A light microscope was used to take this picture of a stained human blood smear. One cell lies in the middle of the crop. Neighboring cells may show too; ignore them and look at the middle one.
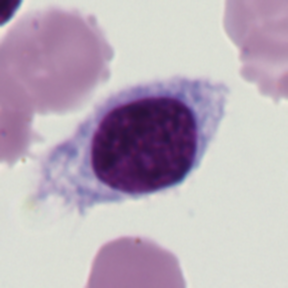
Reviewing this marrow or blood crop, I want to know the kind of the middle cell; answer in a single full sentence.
By type, the central cell of the crop is a hairy cell.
